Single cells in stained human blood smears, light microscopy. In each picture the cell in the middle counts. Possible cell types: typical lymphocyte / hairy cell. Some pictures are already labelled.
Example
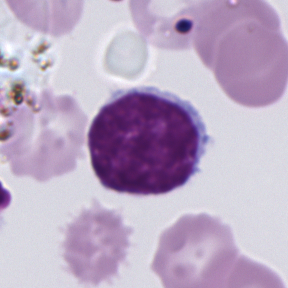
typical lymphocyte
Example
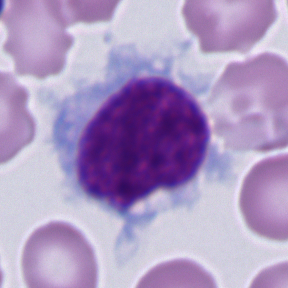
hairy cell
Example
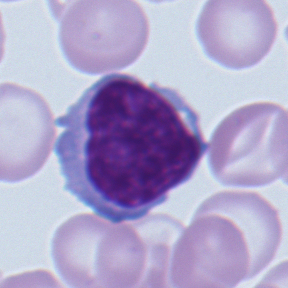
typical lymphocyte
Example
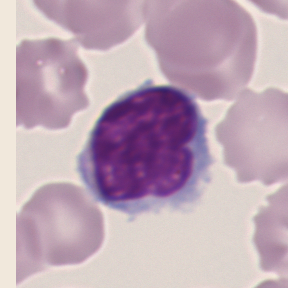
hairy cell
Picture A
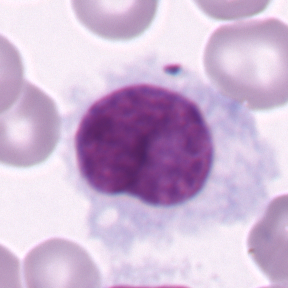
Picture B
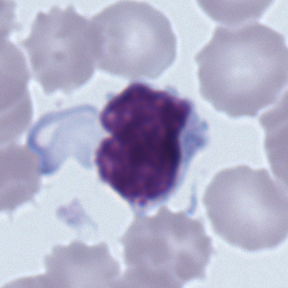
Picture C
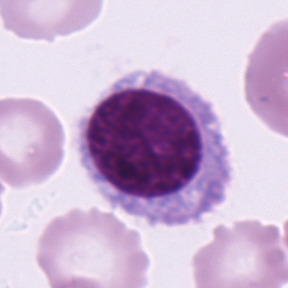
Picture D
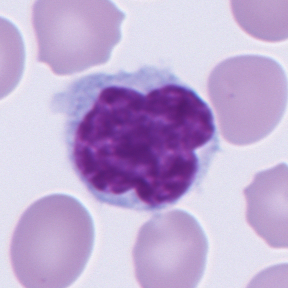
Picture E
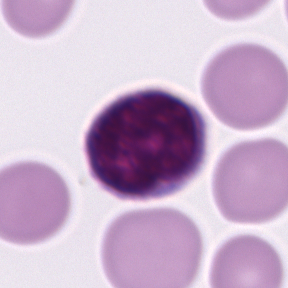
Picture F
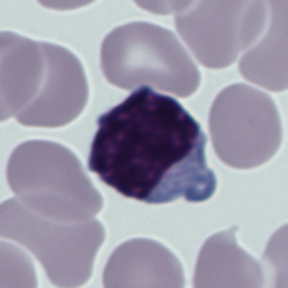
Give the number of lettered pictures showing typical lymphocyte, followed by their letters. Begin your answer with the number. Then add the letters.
Count: 3 (B, E, F)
